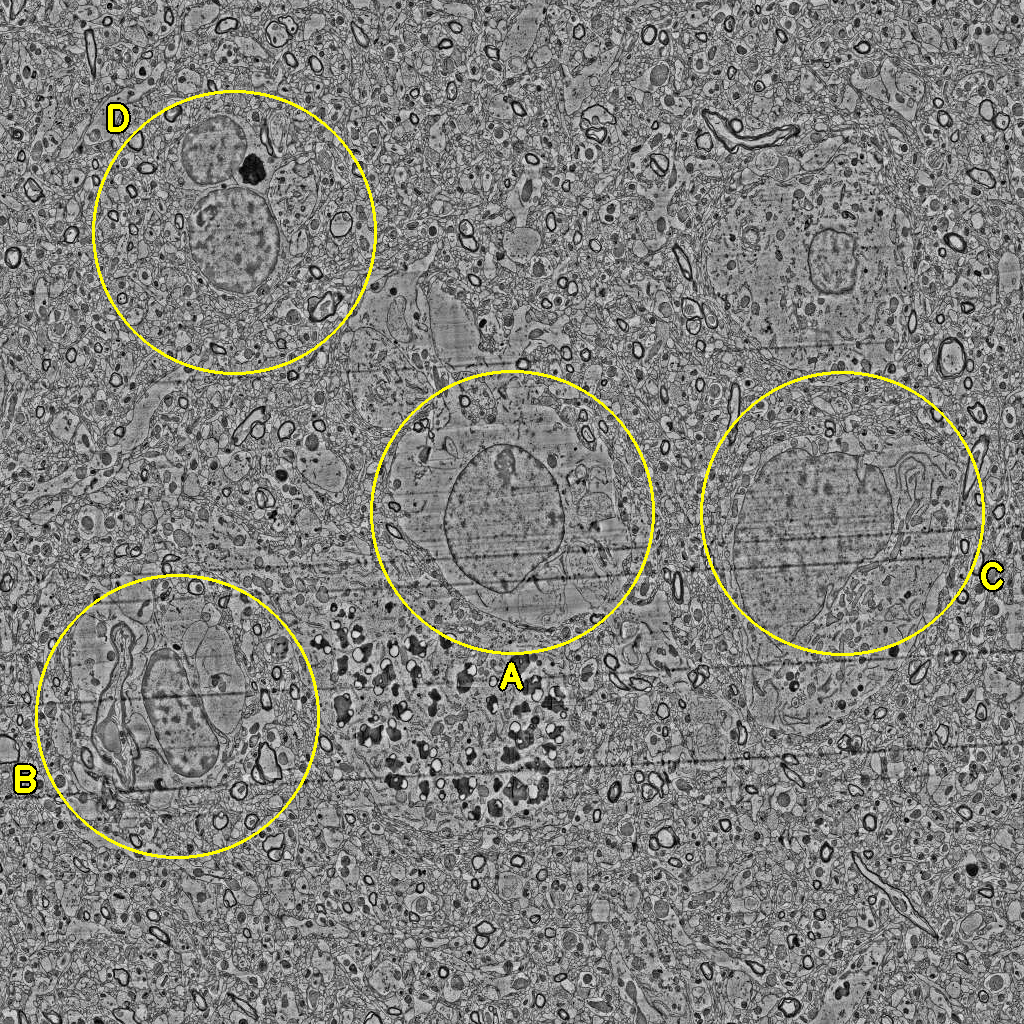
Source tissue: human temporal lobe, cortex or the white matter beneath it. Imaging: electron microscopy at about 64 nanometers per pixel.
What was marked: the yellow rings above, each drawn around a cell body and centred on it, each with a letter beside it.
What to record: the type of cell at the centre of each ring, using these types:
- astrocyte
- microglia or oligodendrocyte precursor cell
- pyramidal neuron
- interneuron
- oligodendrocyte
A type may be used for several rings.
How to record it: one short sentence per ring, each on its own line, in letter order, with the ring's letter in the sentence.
Centred in ring A is an astrocyte.
Centred in ring B is a microglial cell or oligodendrocyte precursor cell.
Centred in ring C is an interneuron.
Centred in ring D is an oligodendrocyte.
